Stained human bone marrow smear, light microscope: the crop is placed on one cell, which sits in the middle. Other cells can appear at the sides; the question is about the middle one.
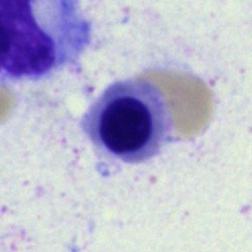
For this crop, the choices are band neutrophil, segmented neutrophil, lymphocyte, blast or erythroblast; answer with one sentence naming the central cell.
The cell occupying the middle of the crop is an erythroblast.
